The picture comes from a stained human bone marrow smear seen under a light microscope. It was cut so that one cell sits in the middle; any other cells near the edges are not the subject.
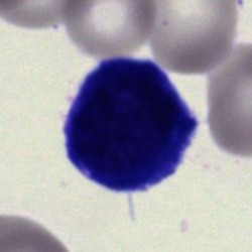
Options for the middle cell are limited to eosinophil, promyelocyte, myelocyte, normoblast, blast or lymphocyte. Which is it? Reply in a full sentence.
This crop's central cell is a normoblast.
